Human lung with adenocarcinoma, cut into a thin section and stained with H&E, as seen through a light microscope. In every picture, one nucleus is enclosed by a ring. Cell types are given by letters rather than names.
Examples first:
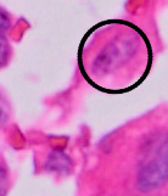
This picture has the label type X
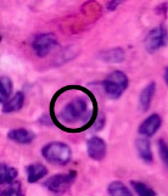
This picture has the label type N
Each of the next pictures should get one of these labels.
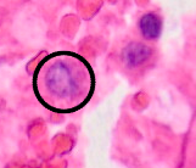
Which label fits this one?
type X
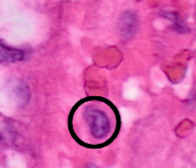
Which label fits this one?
type X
